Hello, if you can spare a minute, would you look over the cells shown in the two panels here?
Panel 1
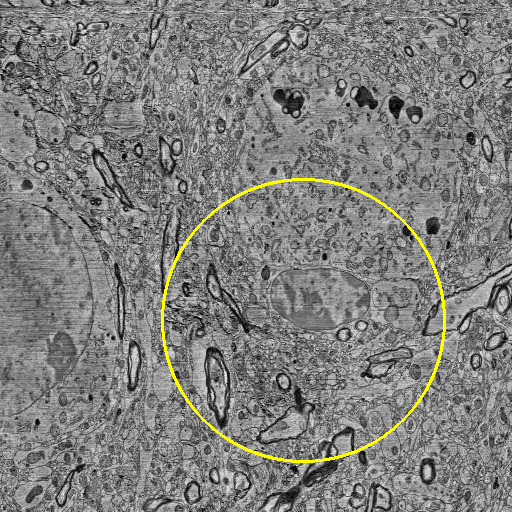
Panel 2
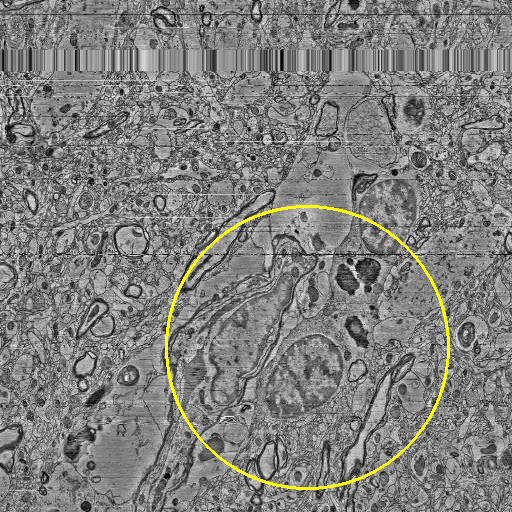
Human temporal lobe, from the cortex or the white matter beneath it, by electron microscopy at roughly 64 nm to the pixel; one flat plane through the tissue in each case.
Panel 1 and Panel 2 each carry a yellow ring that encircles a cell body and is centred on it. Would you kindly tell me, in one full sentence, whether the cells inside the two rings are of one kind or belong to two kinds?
The cells at the centres of the rings in Panel 1 and Panel 2 belong to two kinds.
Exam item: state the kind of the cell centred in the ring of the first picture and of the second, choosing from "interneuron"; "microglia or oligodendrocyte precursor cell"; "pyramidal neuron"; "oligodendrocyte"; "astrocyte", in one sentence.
The first picture shows a microglial cell or oligodendrocyte precursor cell at the ring centre and the second shows an oligodendrocyte.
